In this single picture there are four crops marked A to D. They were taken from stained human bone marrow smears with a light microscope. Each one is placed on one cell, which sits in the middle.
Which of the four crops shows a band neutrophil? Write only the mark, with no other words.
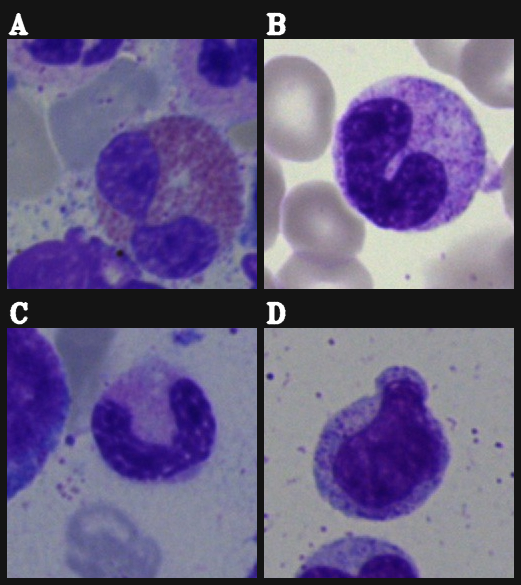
B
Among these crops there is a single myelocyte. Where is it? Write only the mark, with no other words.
D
